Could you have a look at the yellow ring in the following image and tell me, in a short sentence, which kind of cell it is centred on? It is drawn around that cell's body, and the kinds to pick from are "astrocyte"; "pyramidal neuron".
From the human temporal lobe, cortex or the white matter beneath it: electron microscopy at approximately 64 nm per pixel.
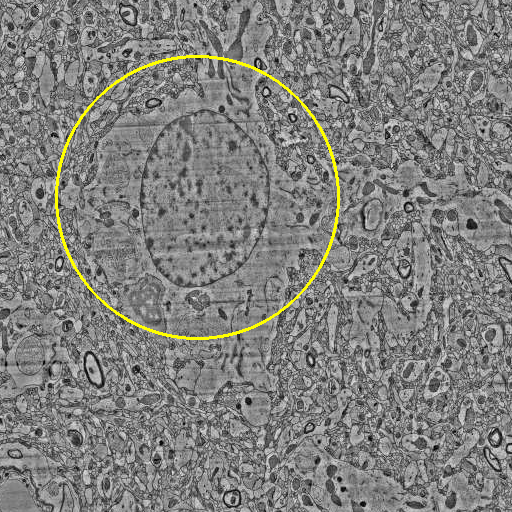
The ring is centred on the body of an astrocyte.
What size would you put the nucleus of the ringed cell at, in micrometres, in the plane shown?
The ringed cell's nucleus is about 11 micrometres long and 8 micrometres wide in this plane.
